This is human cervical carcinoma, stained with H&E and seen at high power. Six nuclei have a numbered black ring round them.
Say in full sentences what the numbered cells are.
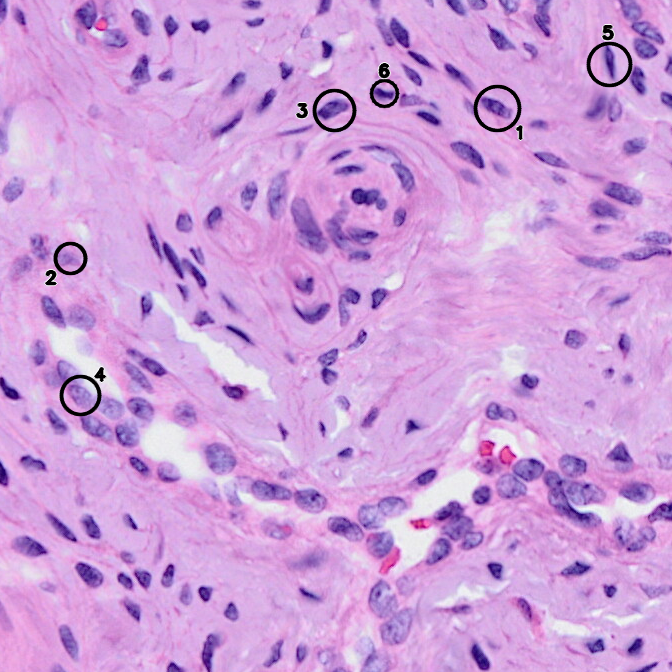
Cell 1 is a fibroblast, cell 2 is a smooth muscle cell, cell 3 is a fibroblast, cell 4 is an endothelial cell, cell 5 is a fibroblast and cell 6 is a fibroblast.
